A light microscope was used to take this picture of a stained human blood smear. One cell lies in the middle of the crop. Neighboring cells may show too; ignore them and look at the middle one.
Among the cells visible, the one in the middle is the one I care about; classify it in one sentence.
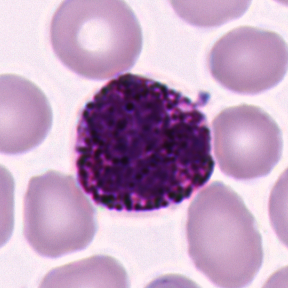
The cell positioned in the middle of the field is a basophil.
